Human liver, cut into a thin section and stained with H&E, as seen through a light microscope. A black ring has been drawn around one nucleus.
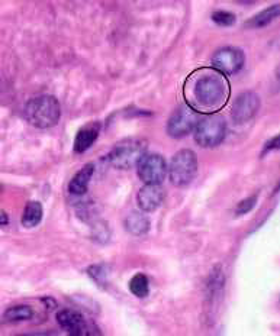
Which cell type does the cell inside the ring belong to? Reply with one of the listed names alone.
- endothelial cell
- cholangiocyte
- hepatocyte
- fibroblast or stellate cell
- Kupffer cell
cholangiocyte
